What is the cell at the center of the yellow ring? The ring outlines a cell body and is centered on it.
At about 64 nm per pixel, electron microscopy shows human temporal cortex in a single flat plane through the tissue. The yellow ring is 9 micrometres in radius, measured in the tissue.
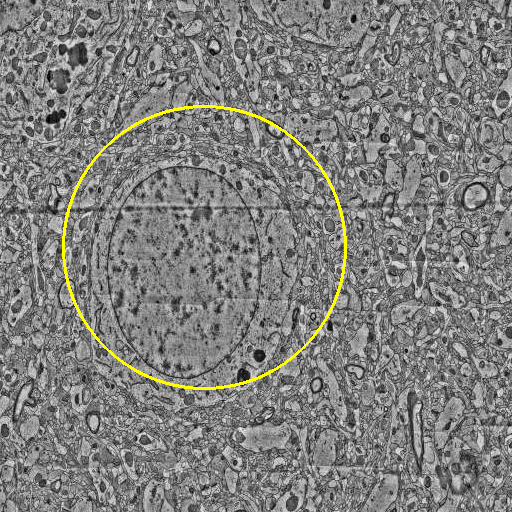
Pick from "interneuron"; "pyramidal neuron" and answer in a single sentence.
The yellow ring is centered on a pyramidal neuron.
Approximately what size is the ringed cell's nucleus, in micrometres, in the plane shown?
In this plane, the nucleus is roughly 14 by 10 micrometres.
